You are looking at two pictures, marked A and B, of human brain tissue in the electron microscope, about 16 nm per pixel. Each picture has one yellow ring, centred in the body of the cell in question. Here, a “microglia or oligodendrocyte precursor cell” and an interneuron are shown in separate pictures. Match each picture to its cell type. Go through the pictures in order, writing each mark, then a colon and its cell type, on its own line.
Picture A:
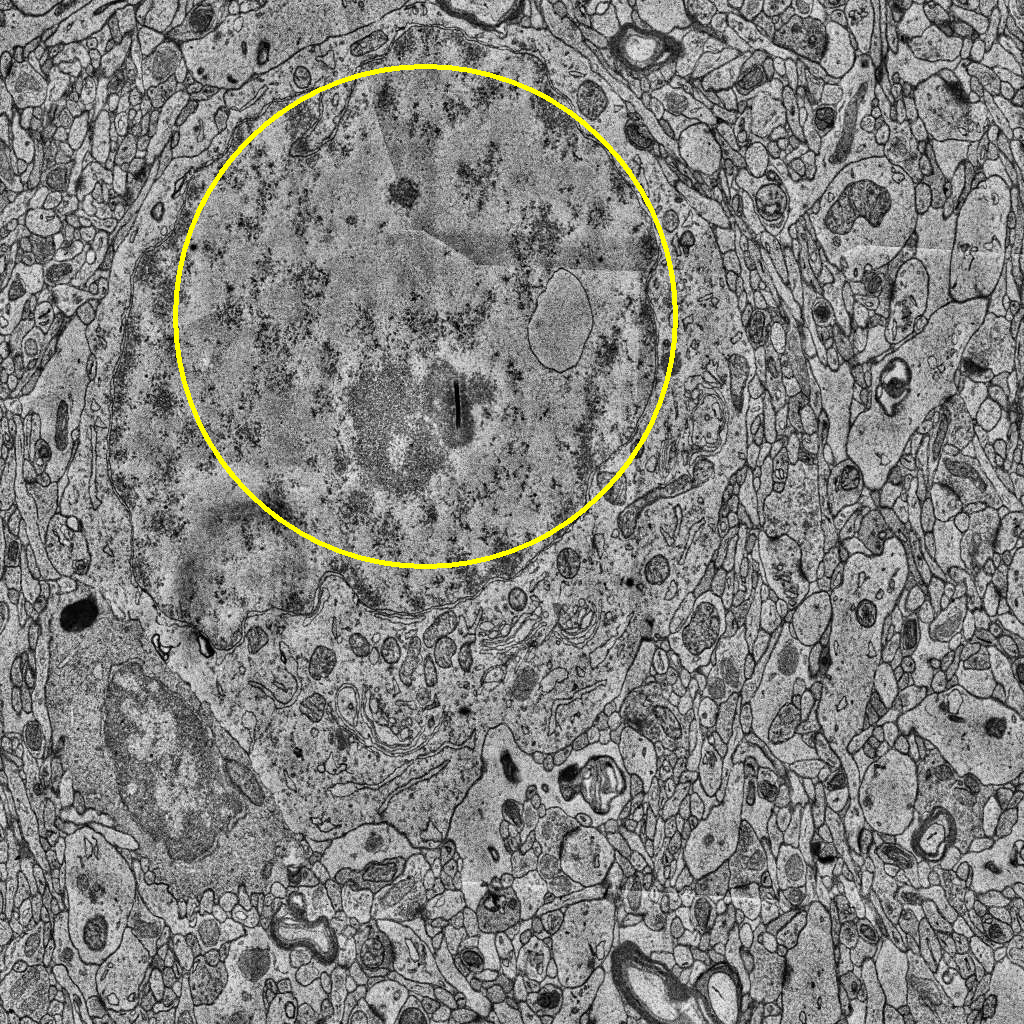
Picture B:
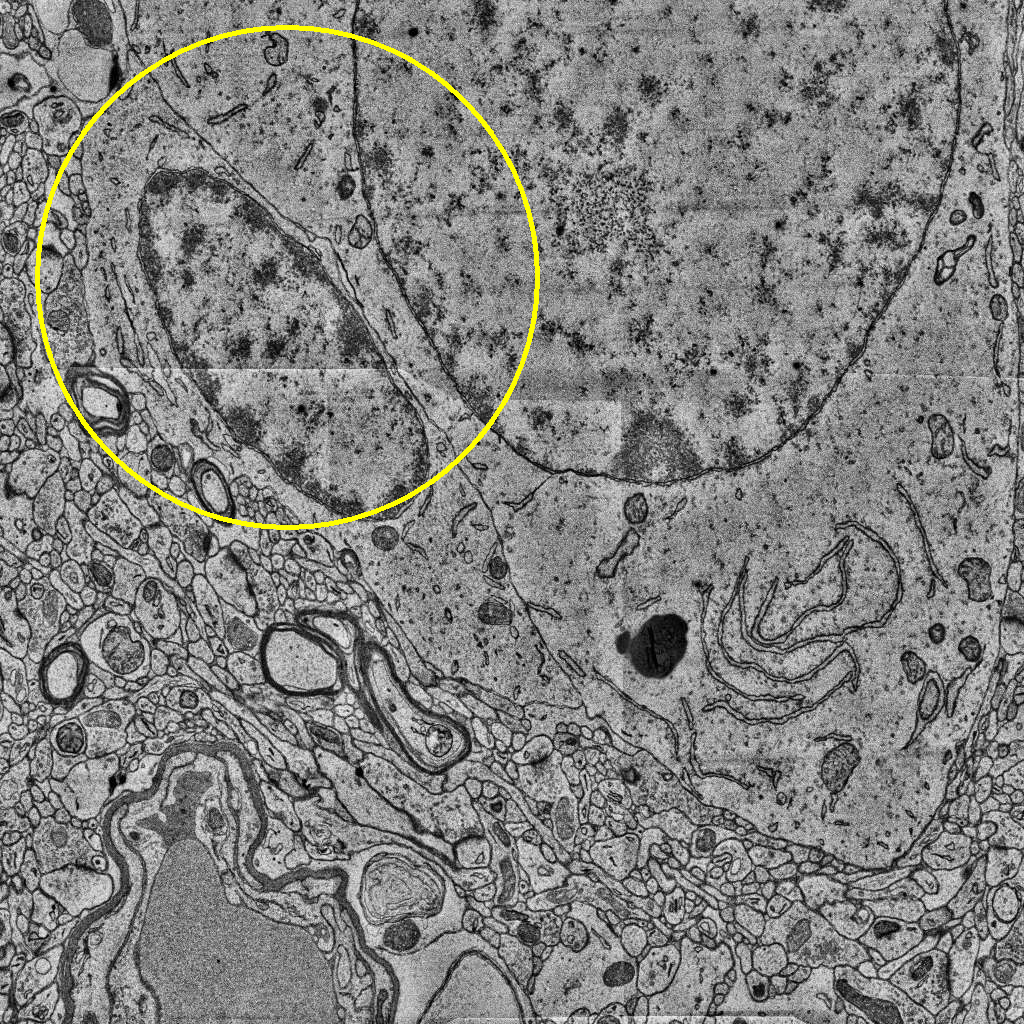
A: interneuron
B: microglia or oligodendrocyte precursor cell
